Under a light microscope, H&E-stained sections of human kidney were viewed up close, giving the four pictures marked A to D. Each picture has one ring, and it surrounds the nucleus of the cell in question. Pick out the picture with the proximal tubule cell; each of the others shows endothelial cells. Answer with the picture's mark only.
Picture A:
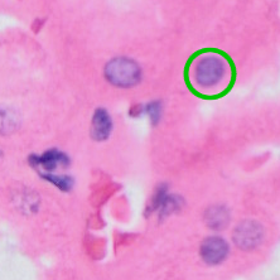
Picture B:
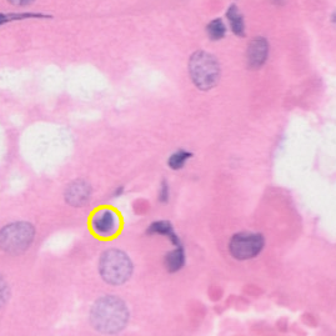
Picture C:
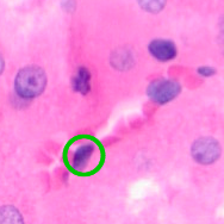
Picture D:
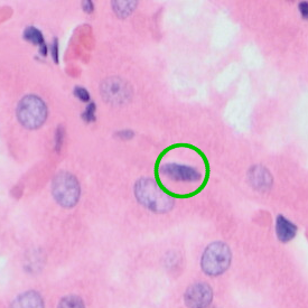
A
